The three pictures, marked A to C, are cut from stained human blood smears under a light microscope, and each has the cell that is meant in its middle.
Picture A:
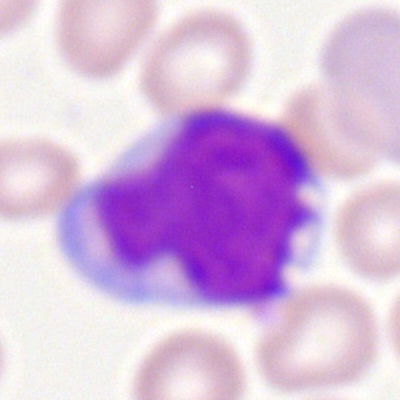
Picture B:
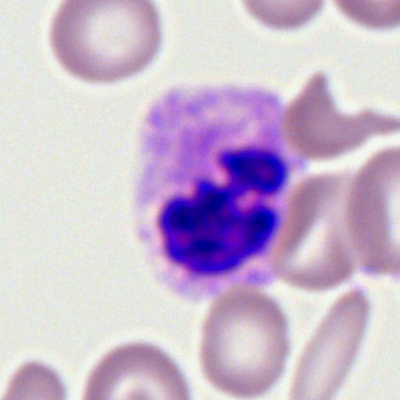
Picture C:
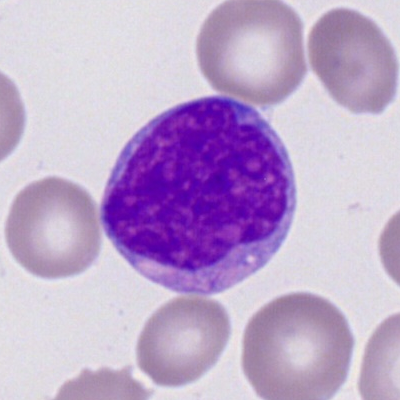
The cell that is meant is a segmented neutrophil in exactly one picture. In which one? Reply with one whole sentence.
The picture with the segmented neutrophil is B.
